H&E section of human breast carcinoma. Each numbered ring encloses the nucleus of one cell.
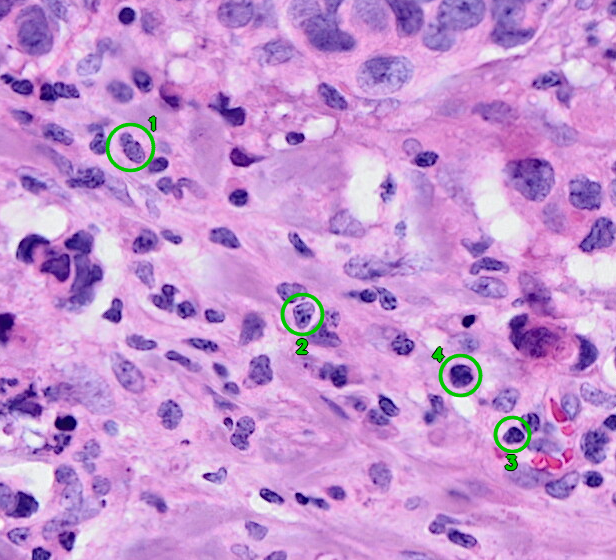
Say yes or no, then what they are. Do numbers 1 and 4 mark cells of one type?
No, cell 1 is a mast cell and cell 4 is a lymphocyte.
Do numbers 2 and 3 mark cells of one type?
Yes, both are lymphocytes.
